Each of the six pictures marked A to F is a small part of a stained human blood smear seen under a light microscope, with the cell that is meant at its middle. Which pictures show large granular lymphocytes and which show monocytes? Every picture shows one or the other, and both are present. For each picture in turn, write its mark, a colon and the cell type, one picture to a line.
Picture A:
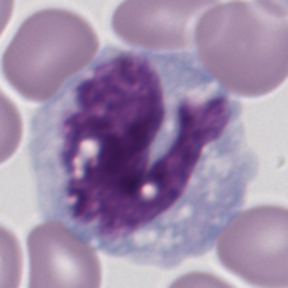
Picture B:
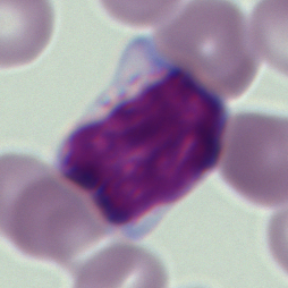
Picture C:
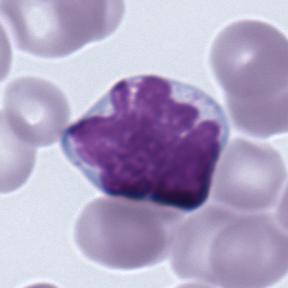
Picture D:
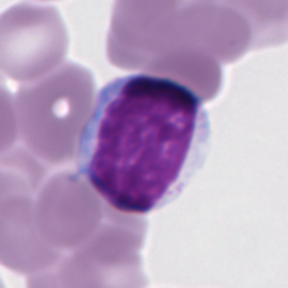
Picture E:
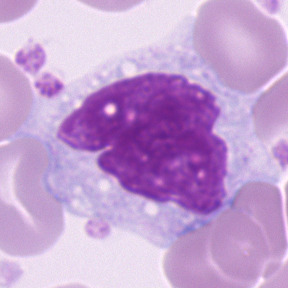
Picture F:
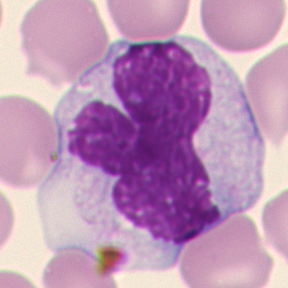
A: monocyte
B: large granular lymphocyte
C: large granular lymphocyte
D: large granular lymphocyte
E: monocyte
F: monocyte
